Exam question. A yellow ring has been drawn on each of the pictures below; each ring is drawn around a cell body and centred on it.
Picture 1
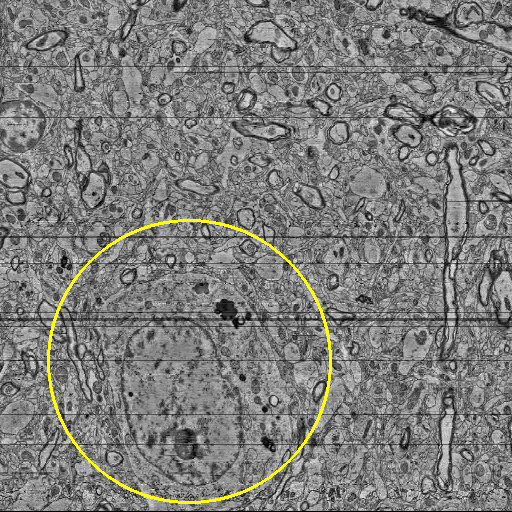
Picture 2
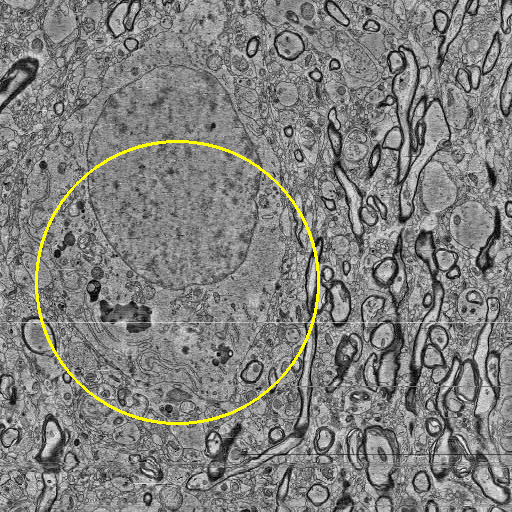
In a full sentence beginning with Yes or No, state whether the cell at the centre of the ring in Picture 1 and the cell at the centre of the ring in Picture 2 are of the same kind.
Yes, the two cells are of the same kind.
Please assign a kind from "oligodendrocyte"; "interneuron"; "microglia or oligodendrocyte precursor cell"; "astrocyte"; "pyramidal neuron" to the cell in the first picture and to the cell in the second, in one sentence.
Both the first and the second picture show an interneuron in the ring.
